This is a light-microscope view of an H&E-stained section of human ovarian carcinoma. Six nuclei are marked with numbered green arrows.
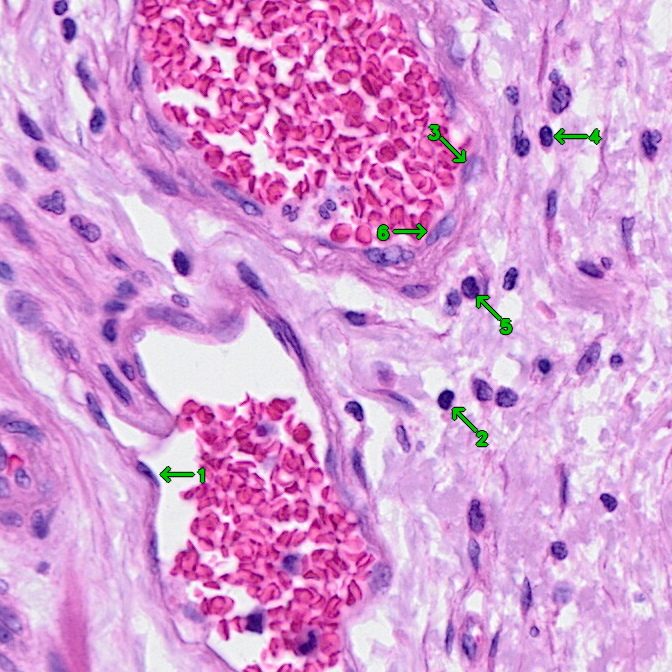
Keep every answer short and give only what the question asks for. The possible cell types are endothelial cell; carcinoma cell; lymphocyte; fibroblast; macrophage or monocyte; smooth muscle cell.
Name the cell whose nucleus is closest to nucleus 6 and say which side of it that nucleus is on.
an endothelial cell; below and to the left of nucleus 6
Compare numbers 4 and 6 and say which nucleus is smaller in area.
4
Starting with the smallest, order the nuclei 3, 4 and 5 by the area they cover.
4, 5, 3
